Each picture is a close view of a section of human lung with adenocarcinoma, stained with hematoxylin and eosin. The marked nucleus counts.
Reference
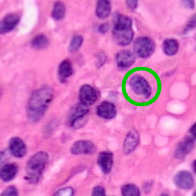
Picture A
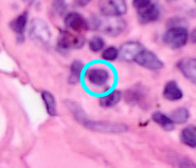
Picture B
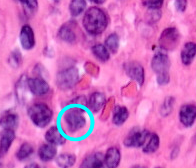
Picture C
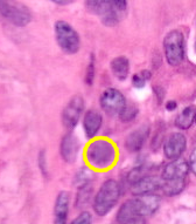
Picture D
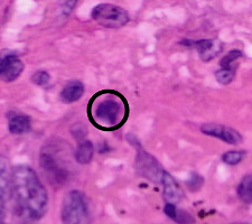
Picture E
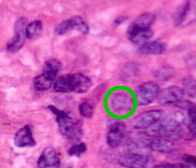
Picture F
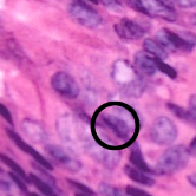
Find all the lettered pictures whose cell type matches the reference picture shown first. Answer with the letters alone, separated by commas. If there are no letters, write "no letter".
A, B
